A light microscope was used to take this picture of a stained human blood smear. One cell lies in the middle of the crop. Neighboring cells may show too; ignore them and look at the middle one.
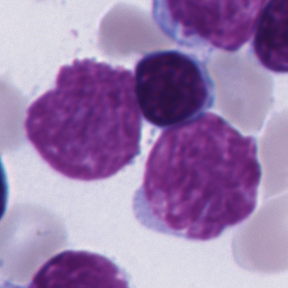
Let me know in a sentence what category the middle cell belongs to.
Regarding the central cell, it is a myeloblast.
